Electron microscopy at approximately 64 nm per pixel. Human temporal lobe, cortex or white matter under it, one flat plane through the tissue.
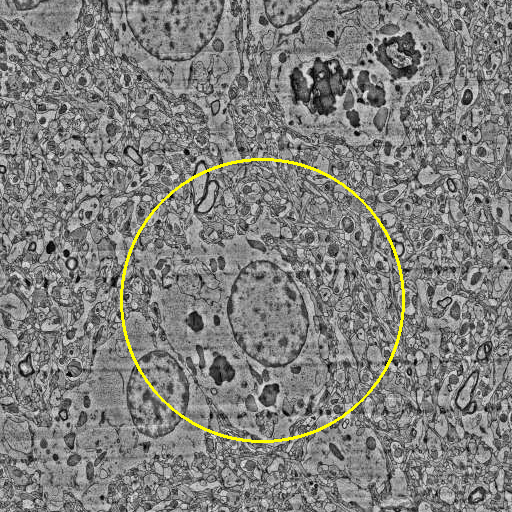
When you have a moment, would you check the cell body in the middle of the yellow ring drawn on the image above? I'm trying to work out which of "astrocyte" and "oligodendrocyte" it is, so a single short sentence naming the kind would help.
This cell body belongs to an astrocyte.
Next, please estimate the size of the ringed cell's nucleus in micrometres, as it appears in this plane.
About 7 by 5 micrometers, in this plane.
